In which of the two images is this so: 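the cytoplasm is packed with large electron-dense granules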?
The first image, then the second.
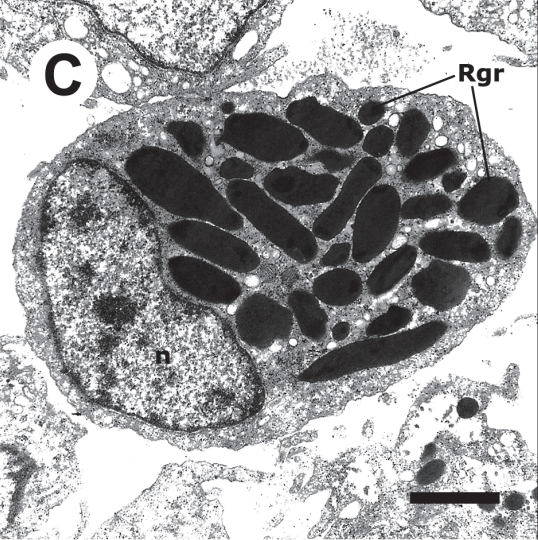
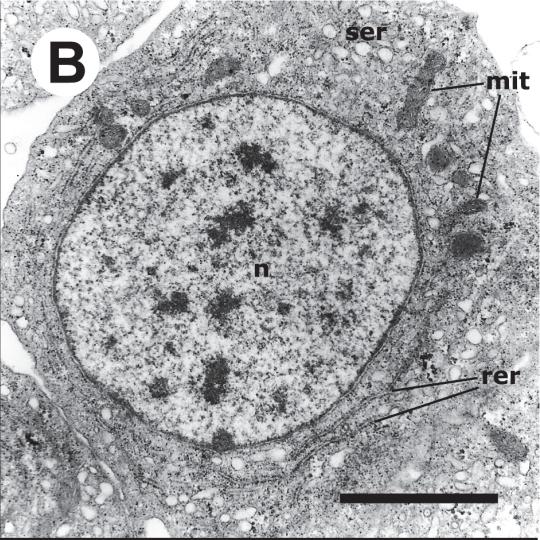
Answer: the first image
